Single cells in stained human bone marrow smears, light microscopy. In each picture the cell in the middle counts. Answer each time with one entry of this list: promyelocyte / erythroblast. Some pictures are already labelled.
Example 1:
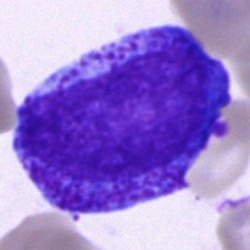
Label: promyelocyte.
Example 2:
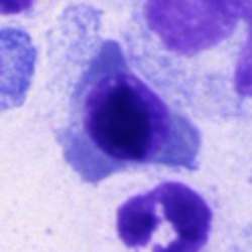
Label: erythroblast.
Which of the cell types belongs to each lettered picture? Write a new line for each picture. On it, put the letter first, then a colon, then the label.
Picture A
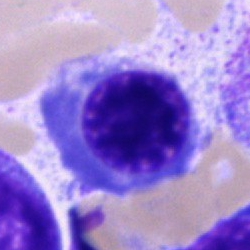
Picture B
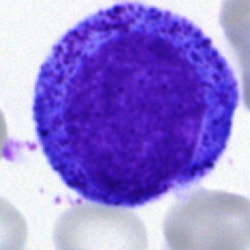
A: erythroblast.
B: promyelocyte.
